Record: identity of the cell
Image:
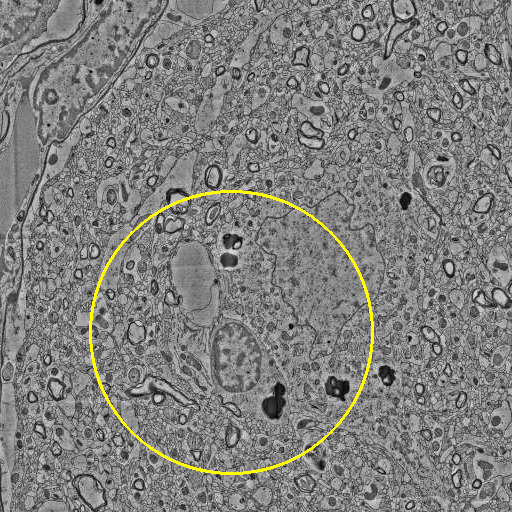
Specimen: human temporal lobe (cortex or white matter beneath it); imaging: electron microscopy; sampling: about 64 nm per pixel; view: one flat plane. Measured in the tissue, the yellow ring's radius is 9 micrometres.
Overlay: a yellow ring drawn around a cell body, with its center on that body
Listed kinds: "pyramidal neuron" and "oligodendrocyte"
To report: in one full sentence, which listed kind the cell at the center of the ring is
In the image, the cell body at the ring's center belongs to an oligodendrocyte.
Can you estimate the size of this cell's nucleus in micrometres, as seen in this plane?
In this plane the nucleus measures roughly 4 by 3 micrometers.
